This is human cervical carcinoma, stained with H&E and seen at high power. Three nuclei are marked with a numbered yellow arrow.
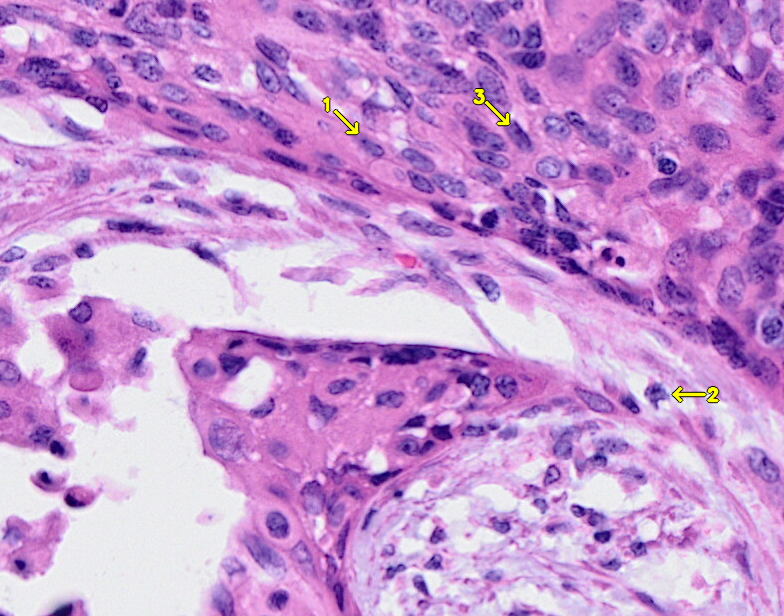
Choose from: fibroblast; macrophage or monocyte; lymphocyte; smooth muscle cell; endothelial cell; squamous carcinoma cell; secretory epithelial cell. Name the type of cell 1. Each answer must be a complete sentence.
The cell with the number 1 is a squamous carcinoma cell.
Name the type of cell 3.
What the number 3 marks in this field is a squamous carcinoma cell.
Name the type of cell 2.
The one numbered 2 among the marked cells is a lymphocyte.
